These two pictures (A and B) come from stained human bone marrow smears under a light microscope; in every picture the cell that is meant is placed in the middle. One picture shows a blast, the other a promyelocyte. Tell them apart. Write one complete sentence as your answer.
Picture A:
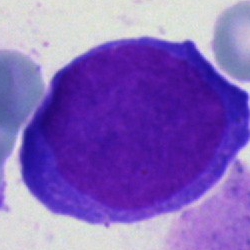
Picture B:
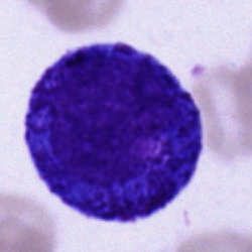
It is picture A that shows a blast, and picture B that shows a promyelocyte.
